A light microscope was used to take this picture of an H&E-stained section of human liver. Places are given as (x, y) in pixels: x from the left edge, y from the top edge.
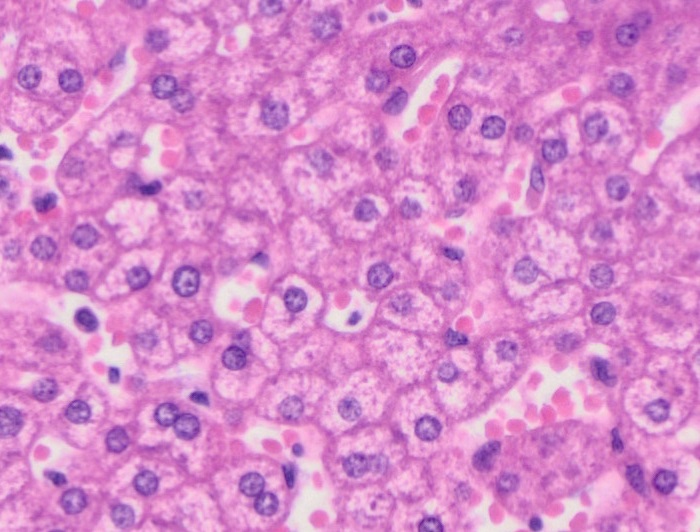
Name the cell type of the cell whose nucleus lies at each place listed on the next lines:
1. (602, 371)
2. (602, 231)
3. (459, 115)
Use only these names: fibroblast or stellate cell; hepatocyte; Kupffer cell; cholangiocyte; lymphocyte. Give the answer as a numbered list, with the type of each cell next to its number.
1. Kupffer cell
2. hepatocyte
3. hepatocyte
